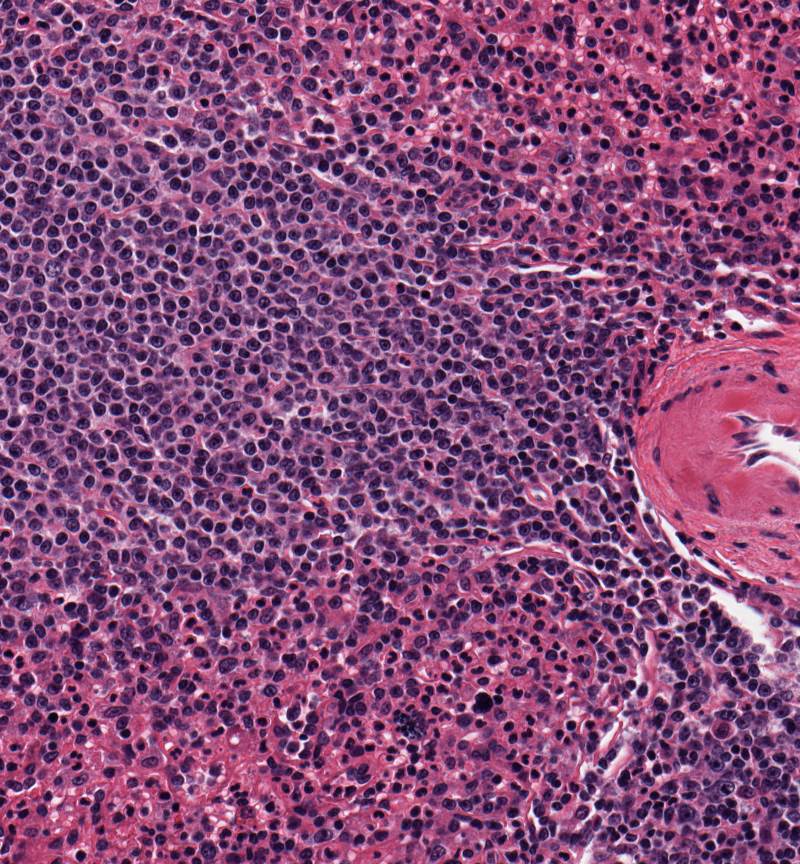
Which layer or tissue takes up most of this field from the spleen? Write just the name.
white pulp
